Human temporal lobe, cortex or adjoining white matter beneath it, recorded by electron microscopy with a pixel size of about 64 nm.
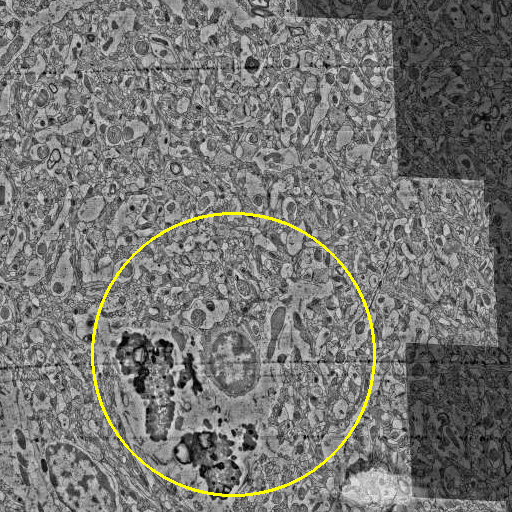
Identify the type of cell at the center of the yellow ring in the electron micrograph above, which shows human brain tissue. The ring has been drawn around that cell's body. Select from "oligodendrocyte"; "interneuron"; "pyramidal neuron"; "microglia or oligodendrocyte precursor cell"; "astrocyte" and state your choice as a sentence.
The yellow ring is centered on the body of an oligodendrocyte.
